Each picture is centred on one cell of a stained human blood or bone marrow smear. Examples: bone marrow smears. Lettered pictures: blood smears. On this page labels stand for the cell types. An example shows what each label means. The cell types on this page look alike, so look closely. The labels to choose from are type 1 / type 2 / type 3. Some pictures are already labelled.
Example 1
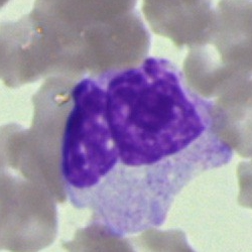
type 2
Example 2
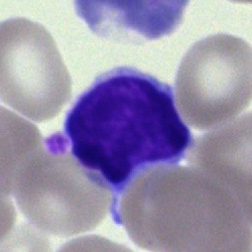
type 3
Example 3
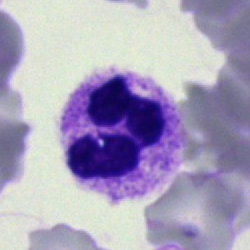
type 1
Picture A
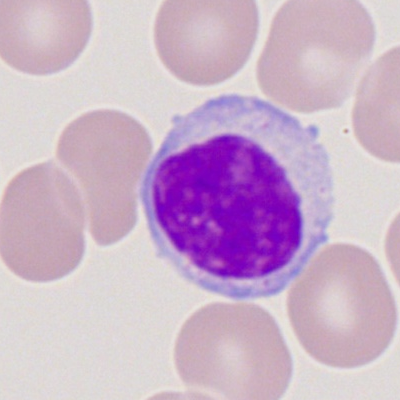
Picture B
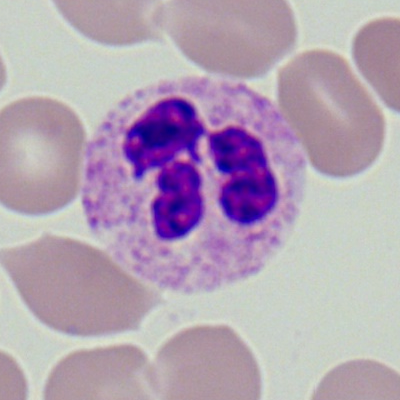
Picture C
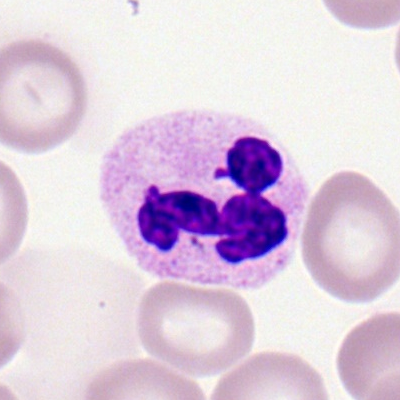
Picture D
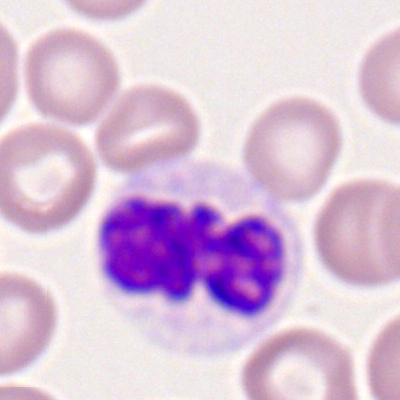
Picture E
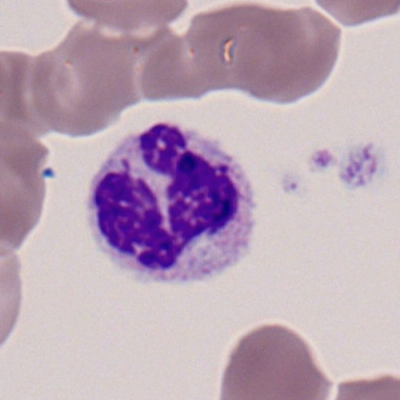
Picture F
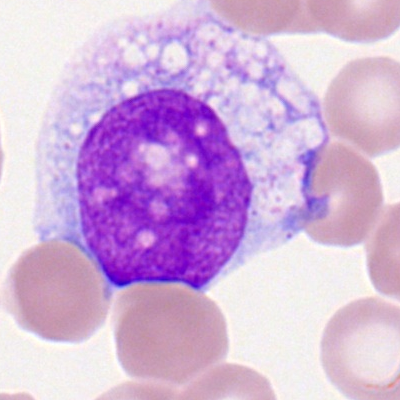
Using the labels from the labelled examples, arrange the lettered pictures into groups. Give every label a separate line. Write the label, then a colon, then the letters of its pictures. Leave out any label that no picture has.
type 1: B, C, D, E
type 2: F
type 3: A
